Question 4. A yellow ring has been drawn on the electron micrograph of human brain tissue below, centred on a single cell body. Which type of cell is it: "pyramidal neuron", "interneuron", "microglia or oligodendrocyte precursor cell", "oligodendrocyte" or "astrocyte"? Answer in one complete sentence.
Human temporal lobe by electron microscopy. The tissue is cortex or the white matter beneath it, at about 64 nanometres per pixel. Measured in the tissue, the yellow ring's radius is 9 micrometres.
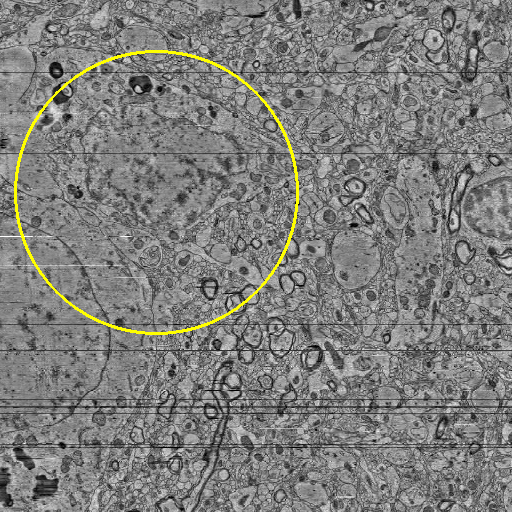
This cell body belongs to an interneuron.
